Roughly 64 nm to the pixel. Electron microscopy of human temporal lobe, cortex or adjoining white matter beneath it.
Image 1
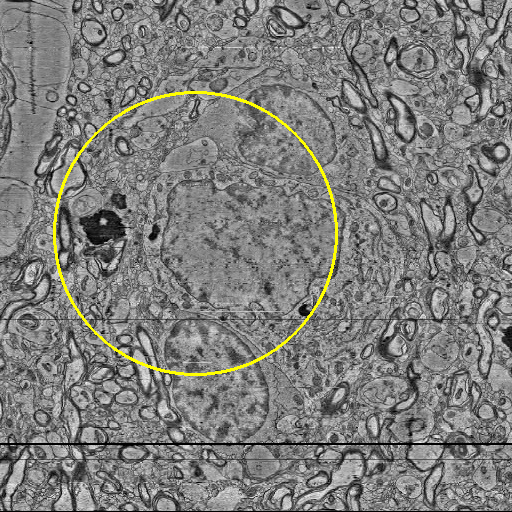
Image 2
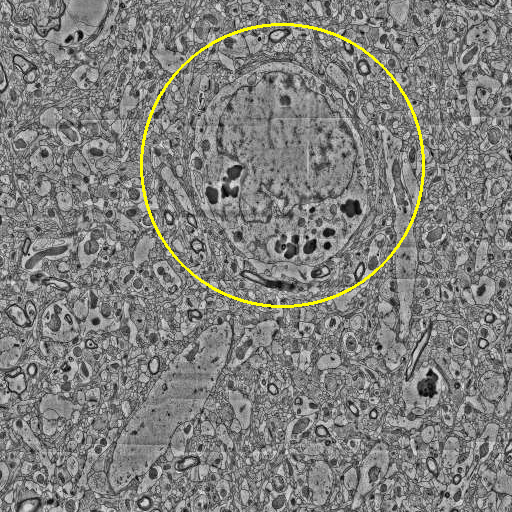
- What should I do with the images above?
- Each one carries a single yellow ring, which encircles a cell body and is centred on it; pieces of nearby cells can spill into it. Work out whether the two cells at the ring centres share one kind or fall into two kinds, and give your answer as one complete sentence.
The ring-centre cells of Image 1 and Image 2 share one kind.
